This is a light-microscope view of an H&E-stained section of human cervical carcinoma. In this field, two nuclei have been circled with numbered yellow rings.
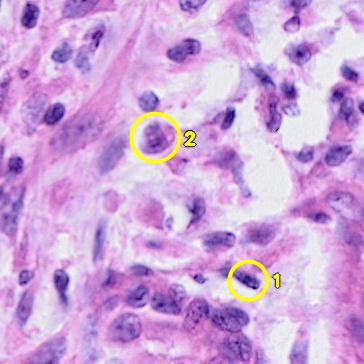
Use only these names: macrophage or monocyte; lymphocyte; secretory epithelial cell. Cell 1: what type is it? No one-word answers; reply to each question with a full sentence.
Here the cell numbered 1 is a lymphocyte.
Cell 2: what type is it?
The one numbered 2 among the marked cells is a macrophage or monocyte.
